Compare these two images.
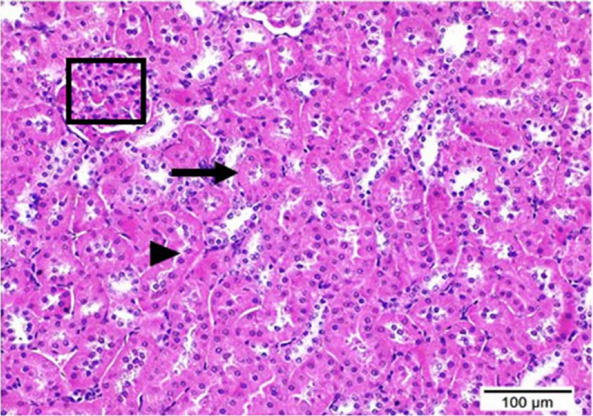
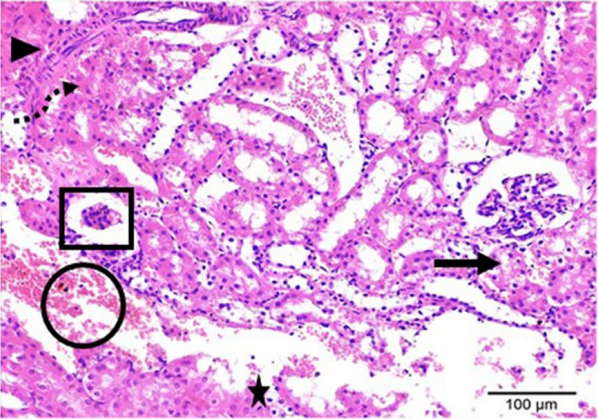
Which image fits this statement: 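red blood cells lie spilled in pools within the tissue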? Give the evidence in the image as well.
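The second image. Second image: a large pool of free red blood cells lies between the tubules. First image: tubules lie closely packed with no pools of free red cells.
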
